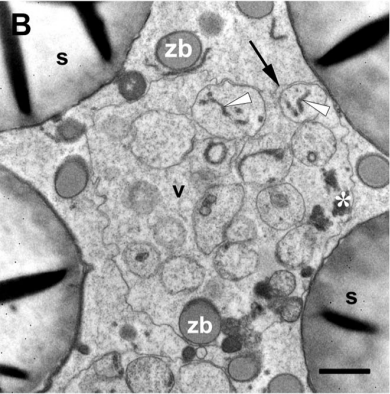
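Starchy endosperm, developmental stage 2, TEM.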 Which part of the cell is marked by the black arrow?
Tonoplast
